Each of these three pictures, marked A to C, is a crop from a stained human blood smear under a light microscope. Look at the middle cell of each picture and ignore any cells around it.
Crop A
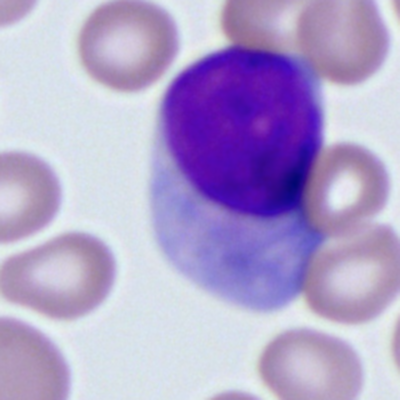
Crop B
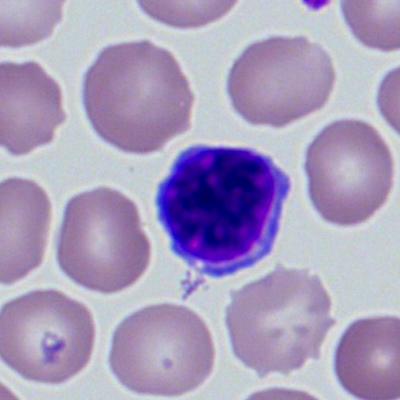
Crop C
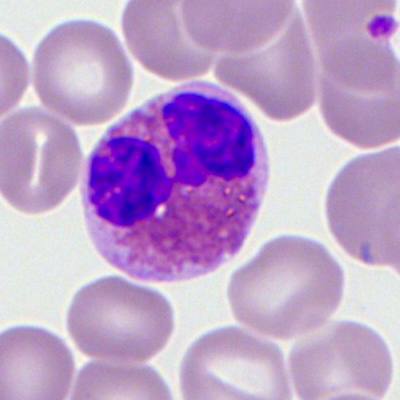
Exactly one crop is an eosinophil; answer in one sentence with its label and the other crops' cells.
Crop C presents an eosinophil at its centre, whereas crop A is a myeloblast and crop B is a lymphocyte.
